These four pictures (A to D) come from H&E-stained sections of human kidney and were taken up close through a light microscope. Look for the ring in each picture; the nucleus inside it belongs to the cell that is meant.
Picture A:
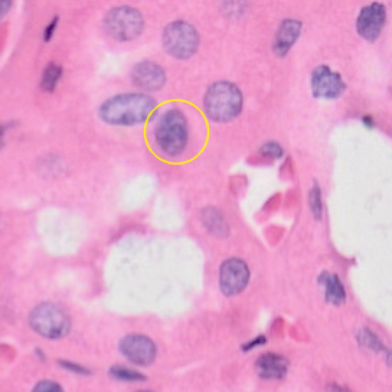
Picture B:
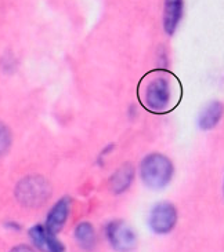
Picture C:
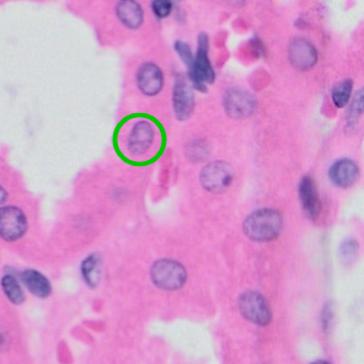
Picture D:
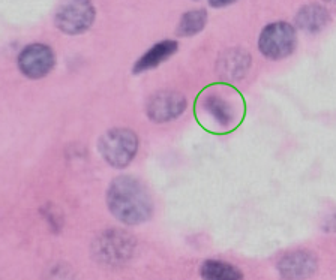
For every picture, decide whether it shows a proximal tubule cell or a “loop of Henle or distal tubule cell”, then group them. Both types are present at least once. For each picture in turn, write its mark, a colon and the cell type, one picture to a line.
A: proximal tubule cell
B: loop of Henle or distal tubule cell
C: proximal tubule cell
D: loop of Henle or distal tubule cell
